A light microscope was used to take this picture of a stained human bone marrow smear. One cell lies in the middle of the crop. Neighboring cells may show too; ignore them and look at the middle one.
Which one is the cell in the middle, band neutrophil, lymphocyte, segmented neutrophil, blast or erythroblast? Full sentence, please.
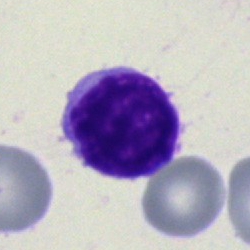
In the middle of this smear crop, the cell is a lymphocyte.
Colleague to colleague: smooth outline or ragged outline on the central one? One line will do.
A ragged or projecting edge replaces the smooth outline in this cell.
